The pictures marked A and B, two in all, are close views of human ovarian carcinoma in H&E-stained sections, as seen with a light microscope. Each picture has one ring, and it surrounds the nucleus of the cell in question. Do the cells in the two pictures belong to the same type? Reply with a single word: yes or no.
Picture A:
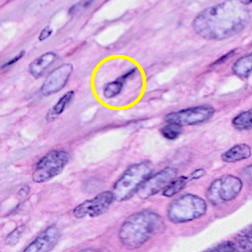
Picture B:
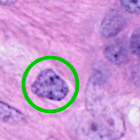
yes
